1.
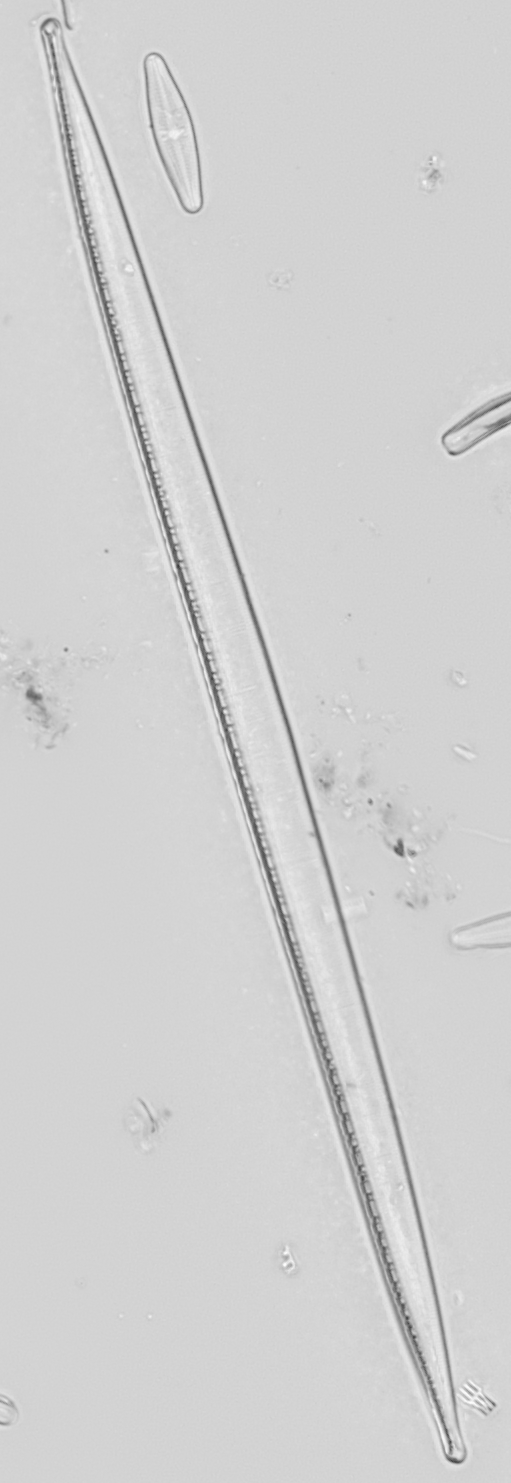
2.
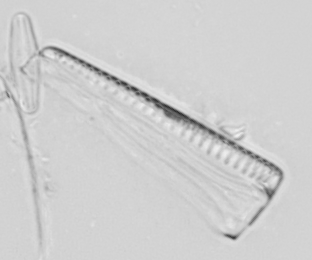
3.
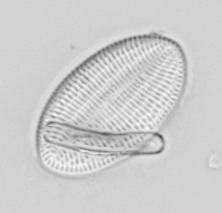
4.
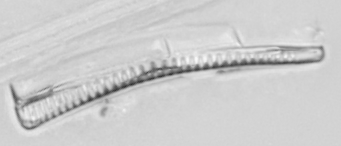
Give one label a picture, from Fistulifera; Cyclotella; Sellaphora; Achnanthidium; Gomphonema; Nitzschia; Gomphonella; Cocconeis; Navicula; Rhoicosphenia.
1: Nitzschia
2: Gomphonella
3: Cocconeis
4: Rhoicosphenia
